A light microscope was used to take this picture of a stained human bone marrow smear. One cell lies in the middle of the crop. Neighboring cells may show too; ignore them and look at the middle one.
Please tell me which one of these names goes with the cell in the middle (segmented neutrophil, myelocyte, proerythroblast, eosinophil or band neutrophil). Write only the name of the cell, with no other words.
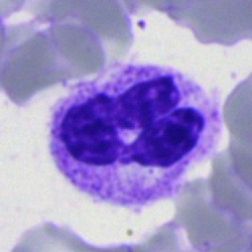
segmented neutrophil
